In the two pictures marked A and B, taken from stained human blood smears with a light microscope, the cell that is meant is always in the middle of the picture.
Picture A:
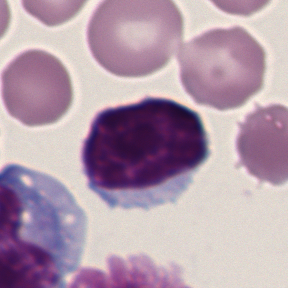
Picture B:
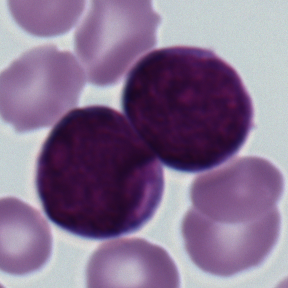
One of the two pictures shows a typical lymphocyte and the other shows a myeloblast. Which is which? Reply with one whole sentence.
The cell in picture A is a typical lymphocyte, and the one in picture B is a myeloblast.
